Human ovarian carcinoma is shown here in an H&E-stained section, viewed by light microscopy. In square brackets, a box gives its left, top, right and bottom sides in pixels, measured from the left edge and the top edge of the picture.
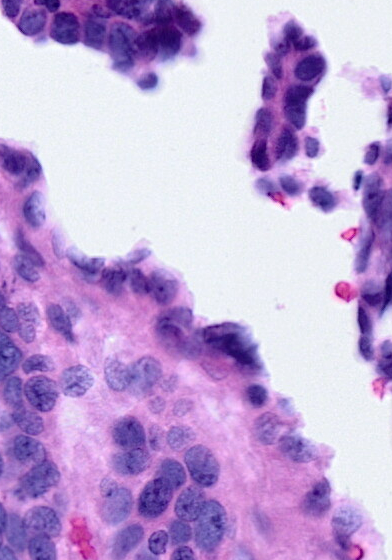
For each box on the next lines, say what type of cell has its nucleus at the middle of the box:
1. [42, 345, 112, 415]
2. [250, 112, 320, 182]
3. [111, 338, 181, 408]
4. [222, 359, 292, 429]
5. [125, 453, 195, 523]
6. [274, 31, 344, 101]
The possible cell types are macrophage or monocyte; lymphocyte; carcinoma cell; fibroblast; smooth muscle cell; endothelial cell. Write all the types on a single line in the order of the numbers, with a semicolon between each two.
fibroblast; carcinoma cell; fibroblast; lymphocyte; carcinoma cell; carcinoma cell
